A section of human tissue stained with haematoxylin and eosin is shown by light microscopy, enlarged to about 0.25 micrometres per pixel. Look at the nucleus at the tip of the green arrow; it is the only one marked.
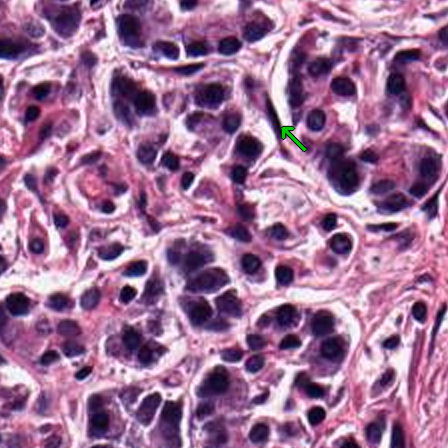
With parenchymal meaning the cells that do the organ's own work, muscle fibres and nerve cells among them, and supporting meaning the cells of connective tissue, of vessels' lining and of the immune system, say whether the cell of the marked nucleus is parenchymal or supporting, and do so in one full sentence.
A supporting cell is what the marked nucleus belongs to.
